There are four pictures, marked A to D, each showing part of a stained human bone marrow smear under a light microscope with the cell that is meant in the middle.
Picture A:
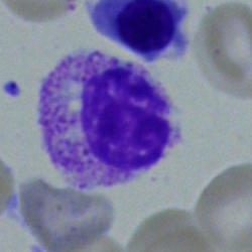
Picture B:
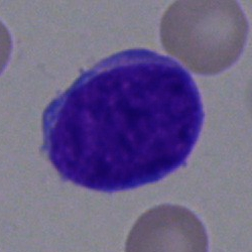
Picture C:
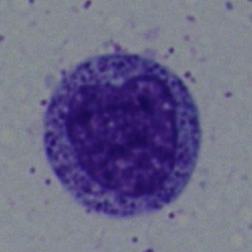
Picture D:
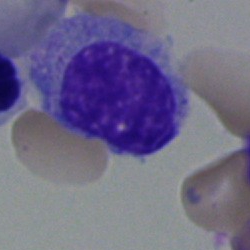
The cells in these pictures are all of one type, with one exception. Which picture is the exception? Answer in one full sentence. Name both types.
Picture B is the odd one out: it shows a blast, while the others show myelocytes.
